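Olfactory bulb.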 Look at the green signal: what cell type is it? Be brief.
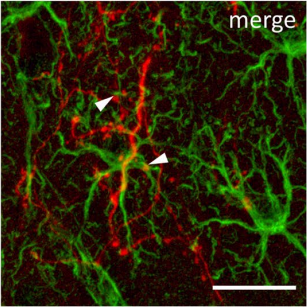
astrocytes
